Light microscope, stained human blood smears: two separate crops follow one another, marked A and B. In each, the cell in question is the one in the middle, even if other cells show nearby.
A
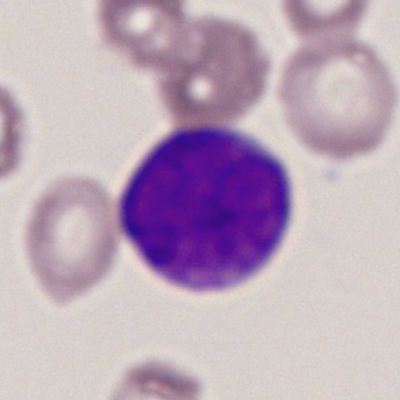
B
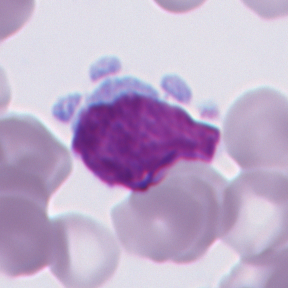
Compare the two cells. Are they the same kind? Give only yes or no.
no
